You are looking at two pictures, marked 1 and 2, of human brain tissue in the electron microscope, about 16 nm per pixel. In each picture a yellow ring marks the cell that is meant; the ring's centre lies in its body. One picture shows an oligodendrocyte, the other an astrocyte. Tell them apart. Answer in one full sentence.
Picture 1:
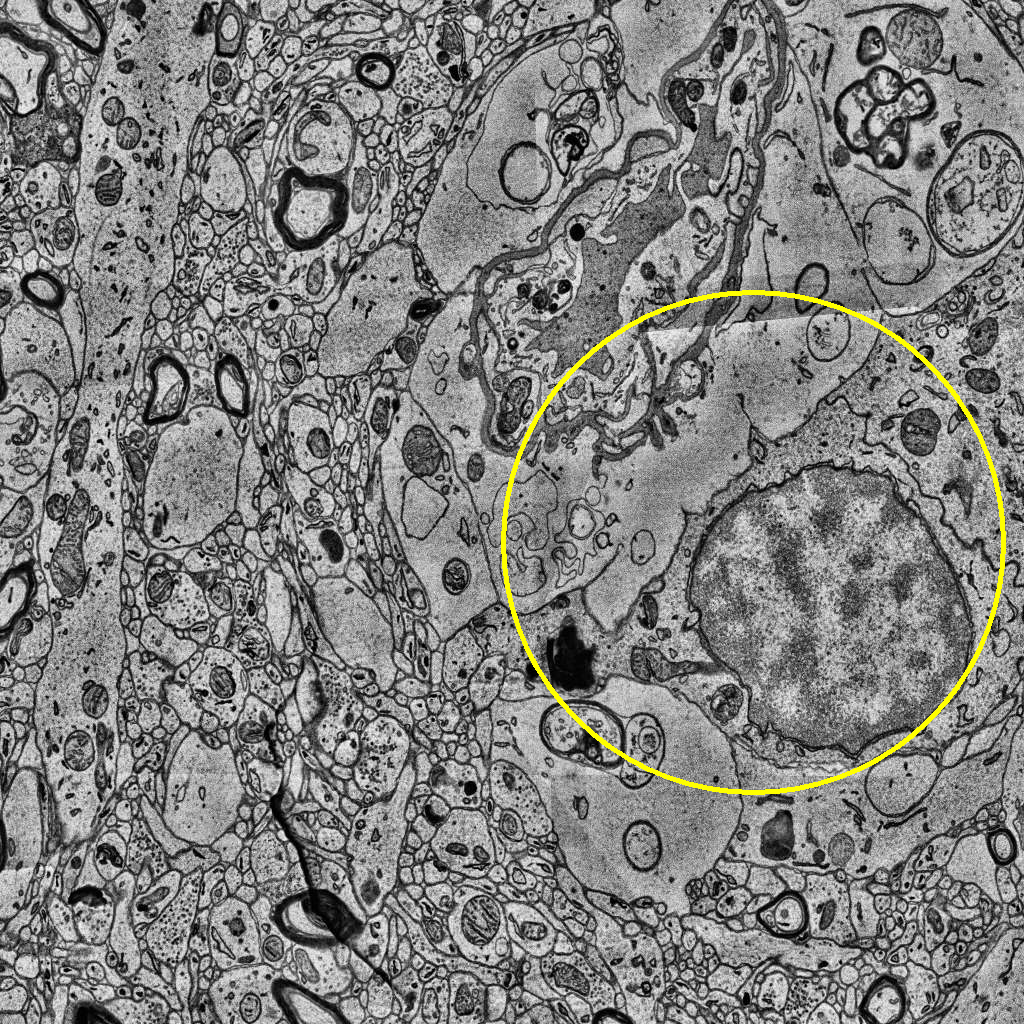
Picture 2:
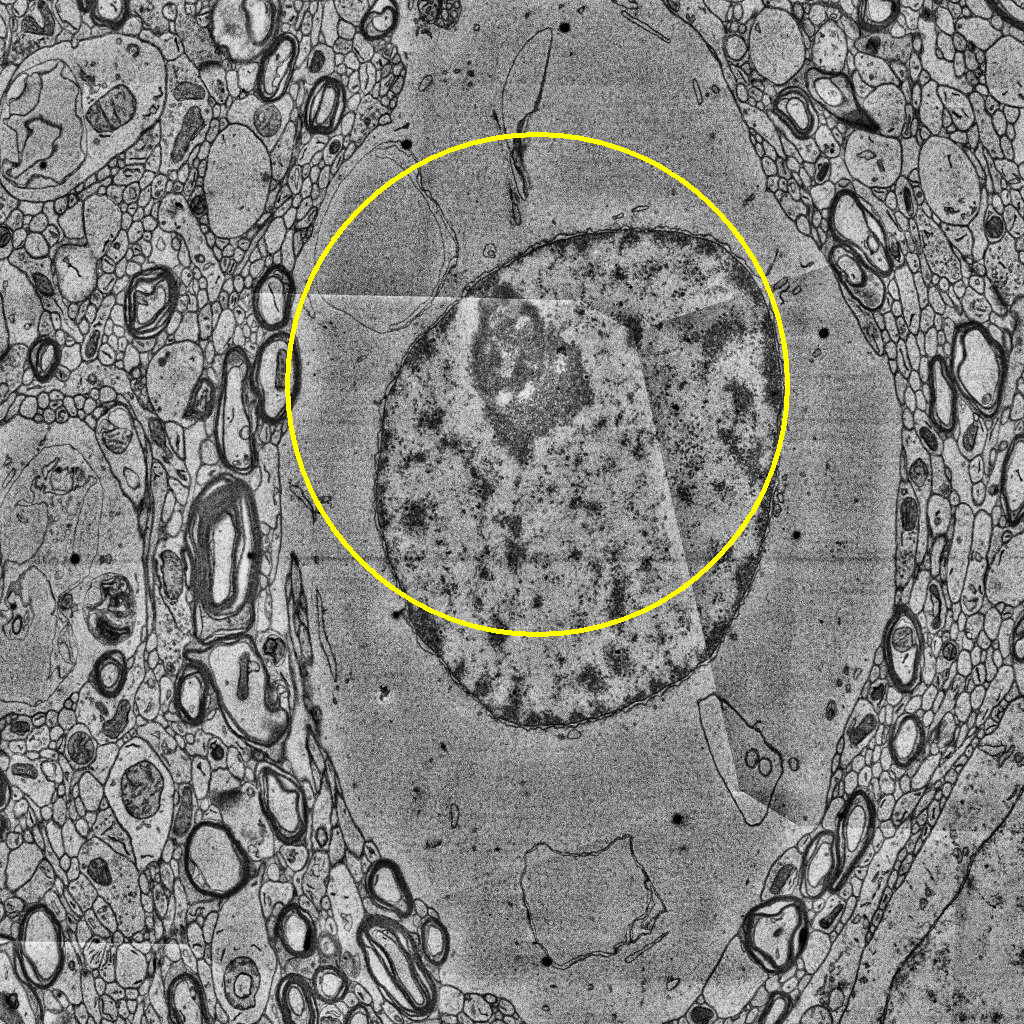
In picture 1 the cell is an oligodendrocyte; in picture 2, an astrocyte.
